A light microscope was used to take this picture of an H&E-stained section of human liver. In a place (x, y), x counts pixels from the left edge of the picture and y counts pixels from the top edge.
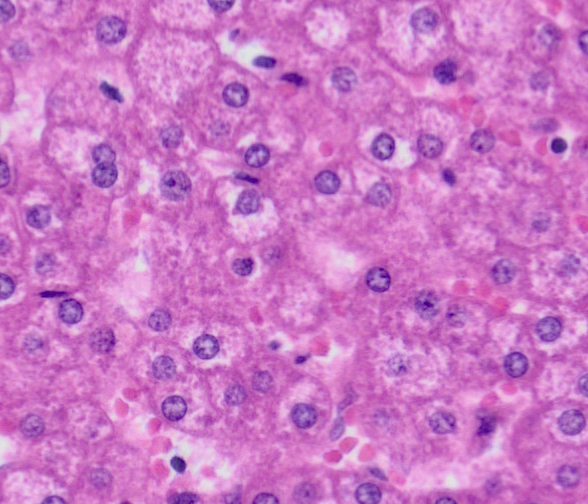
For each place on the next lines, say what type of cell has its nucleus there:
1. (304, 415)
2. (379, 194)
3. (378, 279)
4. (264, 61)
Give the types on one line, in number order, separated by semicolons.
hepatocyte; hepatocyte; hepatocyte; lymphocyte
